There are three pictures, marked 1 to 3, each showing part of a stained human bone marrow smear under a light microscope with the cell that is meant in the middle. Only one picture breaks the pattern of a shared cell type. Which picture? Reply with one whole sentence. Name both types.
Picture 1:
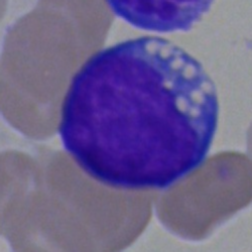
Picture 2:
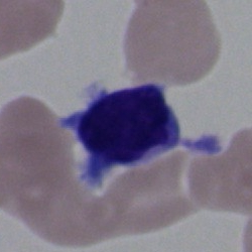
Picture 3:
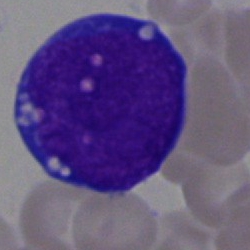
Picture 2 is the odd one out: it shows a lymphocyte, while the others show blasts.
